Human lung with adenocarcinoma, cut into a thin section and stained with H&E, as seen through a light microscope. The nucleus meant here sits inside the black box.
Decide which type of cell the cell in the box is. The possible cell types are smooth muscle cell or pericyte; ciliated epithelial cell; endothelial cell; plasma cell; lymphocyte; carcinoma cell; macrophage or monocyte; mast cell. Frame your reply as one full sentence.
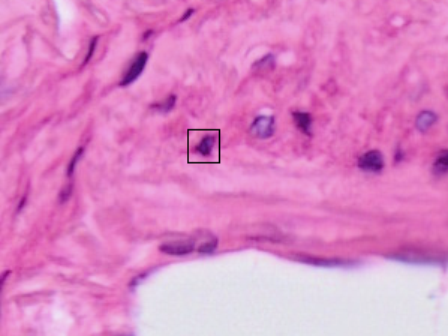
Within the stained tissue, the cell in the box is a smooth muscle cell or pericyte.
